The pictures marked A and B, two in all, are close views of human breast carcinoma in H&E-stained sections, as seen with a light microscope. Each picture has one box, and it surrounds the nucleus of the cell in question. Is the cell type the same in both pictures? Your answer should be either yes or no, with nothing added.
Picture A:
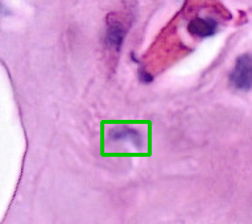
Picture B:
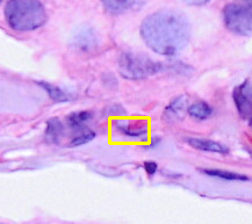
no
